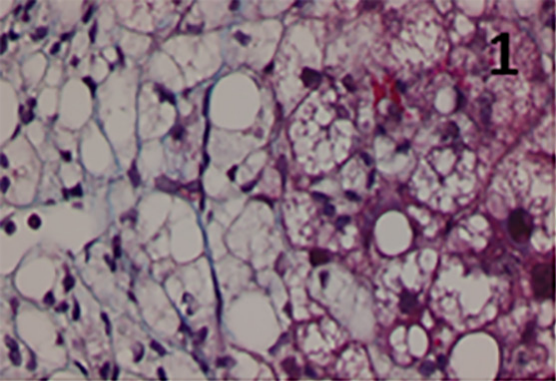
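This is liver with ballooned hepatocytes and fine fibrosis around the cells: thin blue-green fibres run between individual swollen liver cells and encircle them. The hepatocytes are large and rounded, their cytoplasm foamy with many small clear vacuoles or holding big round empty droplets, and their nuclei stain dark purple. Toward the left the cells look paler and the fibres are more conspicuous, while the right side has more reddish-purple cytoplasm.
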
